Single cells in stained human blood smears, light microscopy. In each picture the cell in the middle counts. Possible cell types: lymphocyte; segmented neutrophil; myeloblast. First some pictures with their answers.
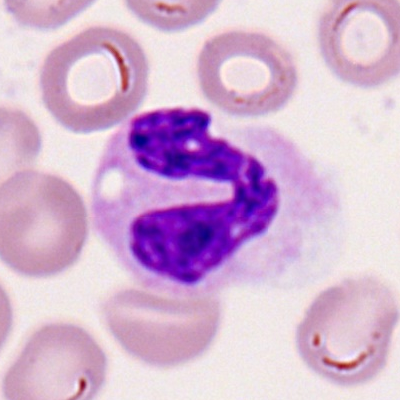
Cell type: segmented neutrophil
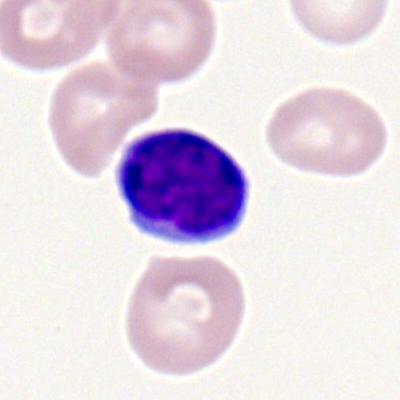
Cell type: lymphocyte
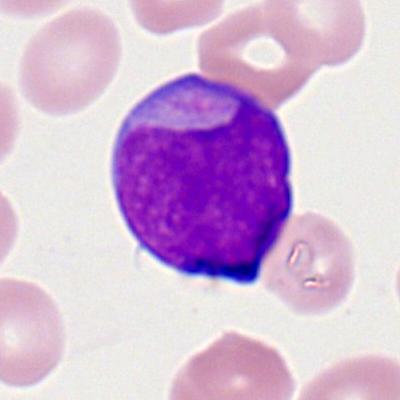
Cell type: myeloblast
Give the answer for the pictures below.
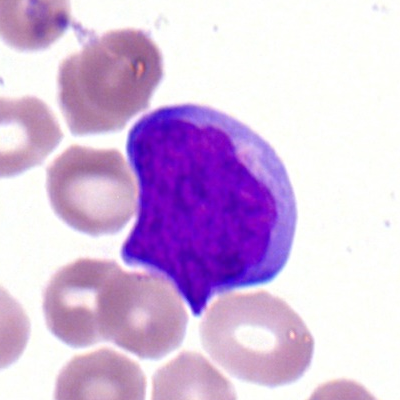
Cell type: myeloblast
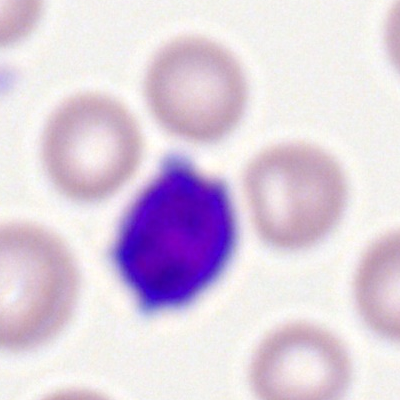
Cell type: lymphocyte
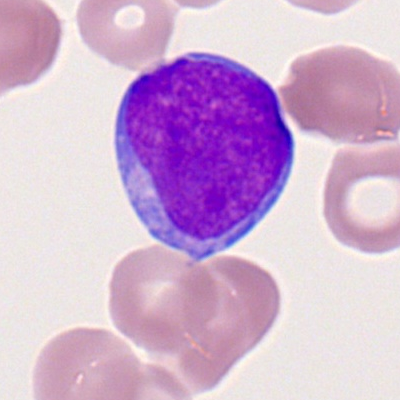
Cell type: myeloblast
